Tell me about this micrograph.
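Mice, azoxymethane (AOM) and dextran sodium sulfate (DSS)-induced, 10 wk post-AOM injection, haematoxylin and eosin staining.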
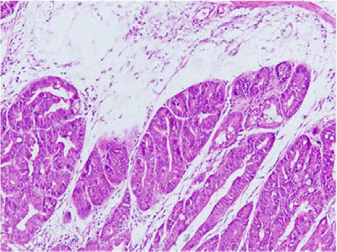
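Colon tumour made of crowded, irregular glands lying back to back with little stroma between them. The glands are lined by tall cells with deeply stained purple nuclei and pink cytoplasm, with little clear mucin. Some gland lumens are branched or irregular. The glandular mass is divided into lobules by thin pink strands of connective tissue. Loose, pale, lightly stained connective tissue lies at the top of the field, above the tumour.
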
